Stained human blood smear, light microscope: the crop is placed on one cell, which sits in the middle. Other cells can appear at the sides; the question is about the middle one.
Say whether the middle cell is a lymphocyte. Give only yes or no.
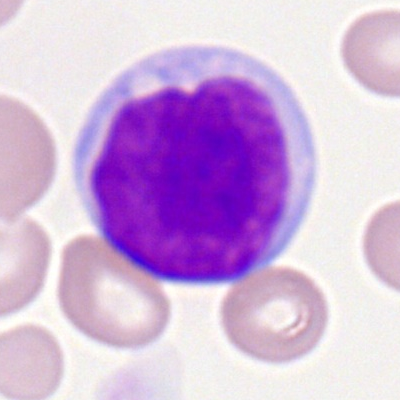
no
